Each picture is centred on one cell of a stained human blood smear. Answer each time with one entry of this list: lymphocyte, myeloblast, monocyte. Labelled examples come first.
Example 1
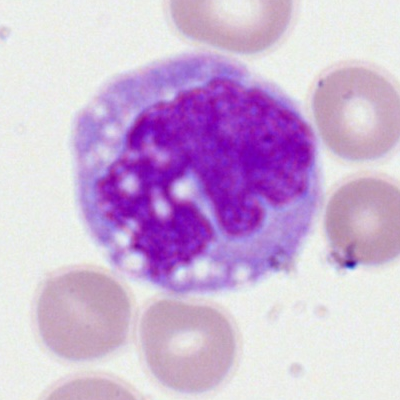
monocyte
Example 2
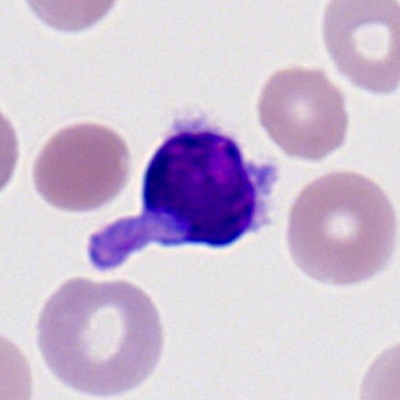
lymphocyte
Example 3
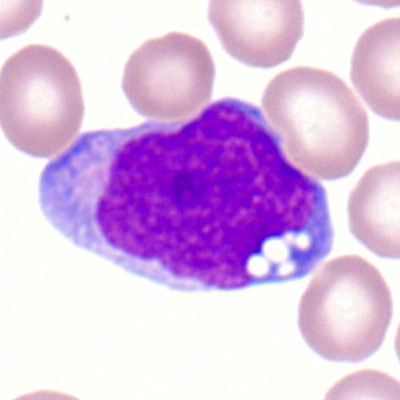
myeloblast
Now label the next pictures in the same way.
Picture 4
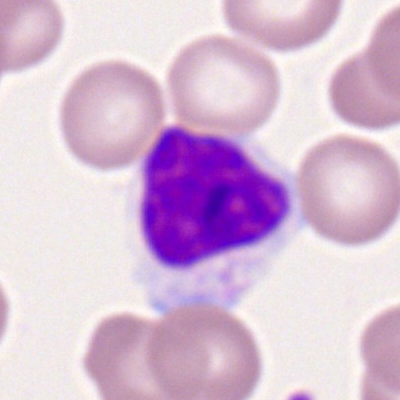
lymphocyte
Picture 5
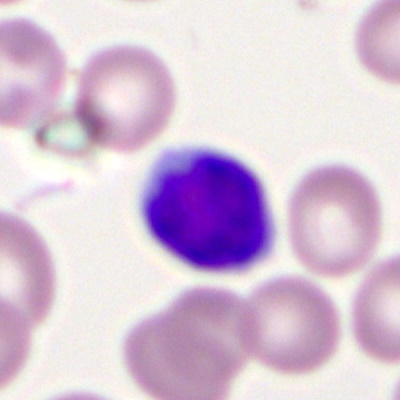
lymphocyte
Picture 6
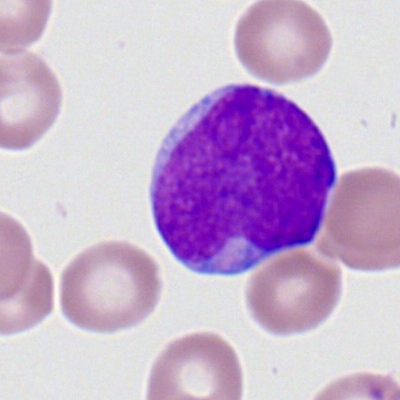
myeloblast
